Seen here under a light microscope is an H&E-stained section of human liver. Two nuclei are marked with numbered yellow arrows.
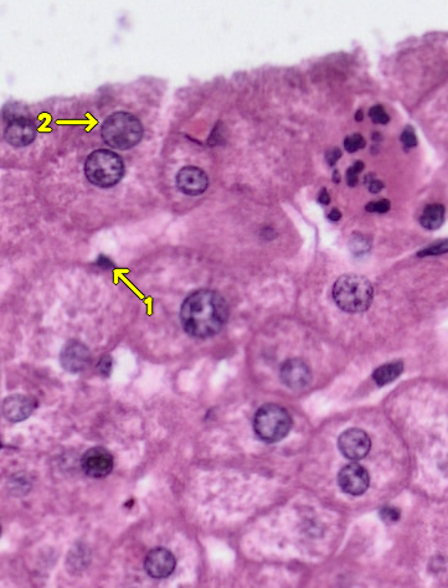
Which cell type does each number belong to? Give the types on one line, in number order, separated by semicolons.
endothelial cell; hepatocyte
